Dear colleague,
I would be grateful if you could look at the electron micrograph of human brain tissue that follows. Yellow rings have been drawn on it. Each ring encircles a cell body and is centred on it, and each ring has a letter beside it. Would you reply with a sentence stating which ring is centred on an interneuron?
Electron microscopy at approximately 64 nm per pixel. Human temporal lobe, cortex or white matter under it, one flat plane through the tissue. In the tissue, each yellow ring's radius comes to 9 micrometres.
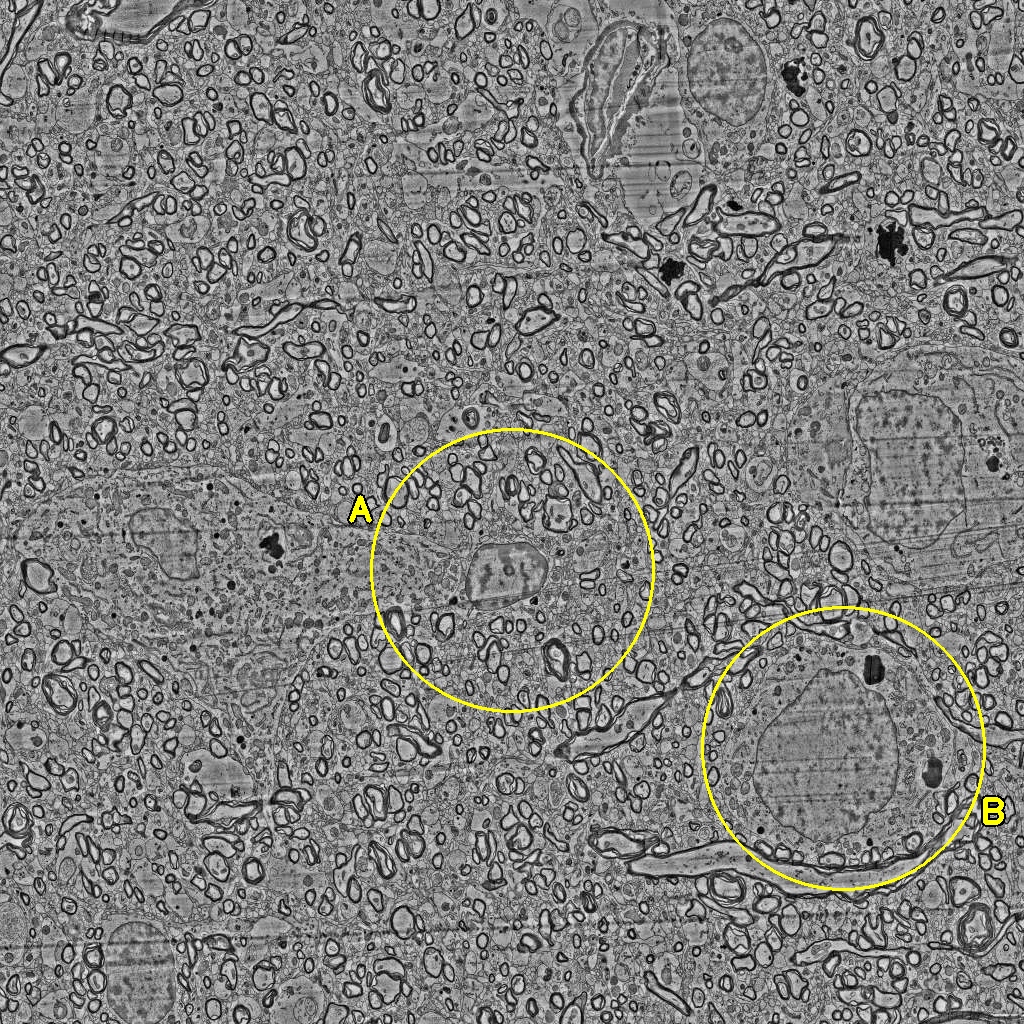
The ring centred on it is ring B.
